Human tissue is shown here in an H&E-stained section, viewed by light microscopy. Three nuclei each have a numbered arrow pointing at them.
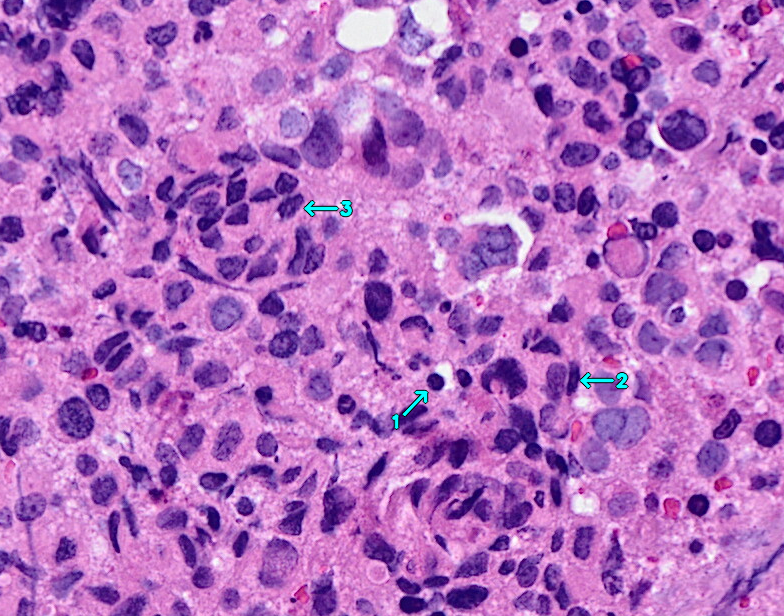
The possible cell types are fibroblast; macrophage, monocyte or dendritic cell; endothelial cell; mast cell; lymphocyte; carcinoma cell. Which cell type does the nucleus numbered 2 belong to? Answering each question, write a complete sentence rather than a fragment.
In this section, the cell tagged 2 is a carcinoma cell.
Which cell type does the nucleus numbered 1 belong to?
The cell identified by the number 1 is a lymphocyte.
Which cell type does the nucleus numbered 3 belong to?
The one numbered 3 among the marked cells is a carcinoma cell.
